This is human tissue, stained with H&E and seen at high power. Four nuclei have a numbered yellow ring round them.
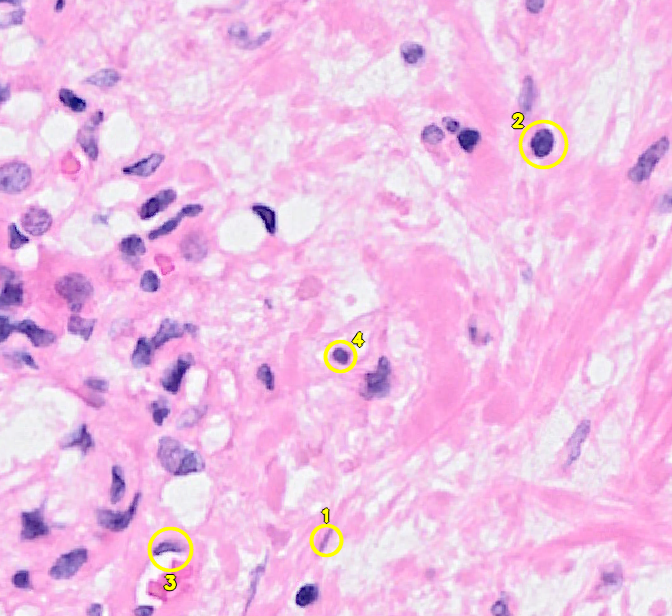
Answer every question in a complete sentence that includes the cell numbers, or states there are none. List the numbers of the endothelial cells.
Cell 3 is an endothelial cell, which is true of none of the other numbered cells.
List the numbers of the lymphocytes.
The cells numbered 2 and 4 fall into the category of lymphocytes.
